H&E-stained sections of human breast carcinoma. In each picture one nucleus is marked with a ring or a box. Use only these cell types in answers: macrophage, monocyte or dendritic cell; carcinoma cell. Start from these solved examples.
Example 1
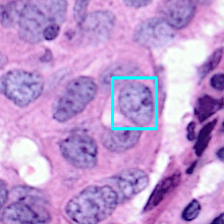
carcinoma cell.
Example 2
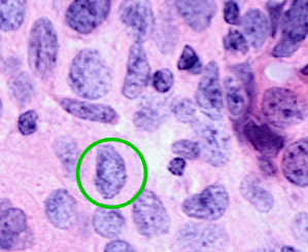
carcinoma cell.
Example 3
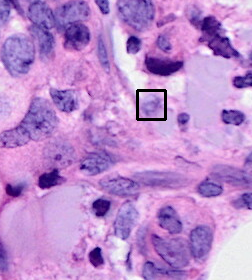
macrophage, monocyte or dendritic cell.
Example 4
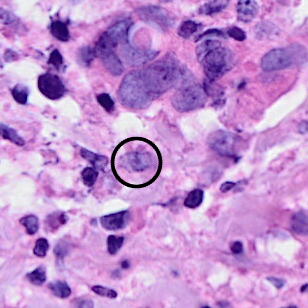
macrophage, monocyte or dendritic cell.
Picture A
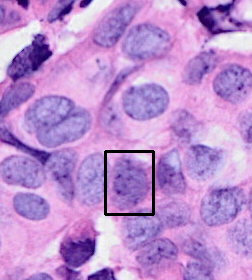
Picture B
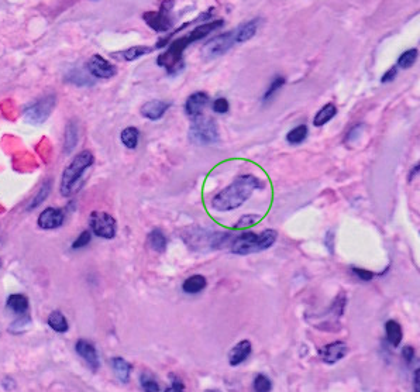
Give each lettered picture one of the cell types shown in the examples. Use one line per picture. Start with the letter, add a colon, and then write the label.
A: carcinoma cell.
B: macrophage, monocyte or dendritic cell.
